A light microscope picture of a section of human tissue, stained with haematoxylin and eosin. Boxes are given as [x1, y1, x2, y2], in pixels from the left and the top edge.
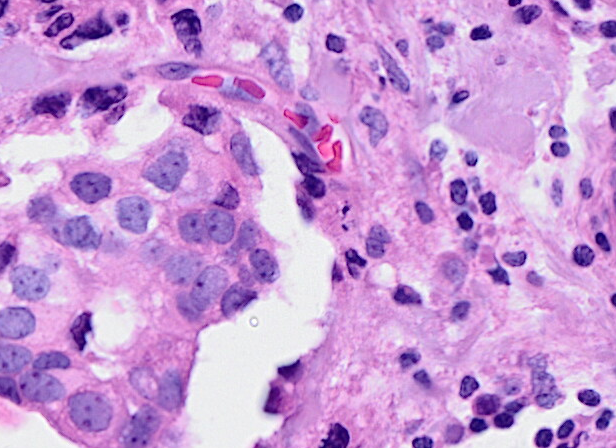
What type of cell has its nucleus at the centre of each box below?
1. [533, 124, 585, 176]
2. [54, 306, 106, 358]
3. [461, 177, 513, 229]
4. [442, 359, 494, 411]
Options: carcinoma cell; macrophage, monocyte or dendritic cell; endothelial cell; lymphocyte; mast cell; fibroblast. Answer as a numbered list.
1. lymphocyte
2. carcinoma cell
3. lymphocyte
4. lymphocyte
